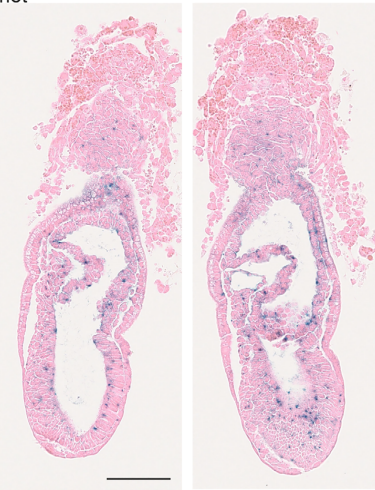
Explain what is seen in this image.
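Two pink-stained sections of an early egg-cylinder embryo lie side by side, each with an elongated cup of epithelial cell layers surrounding a central cavity, and a large loose mass of cells capped by red blood cells at the top. Dark blue dots are scattered within the cell layers, densest in the inner epithelial layer and the cells bulging into the cavity, fewer in the upper cell mass. The outermost thin layer of cells carries little blue.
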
